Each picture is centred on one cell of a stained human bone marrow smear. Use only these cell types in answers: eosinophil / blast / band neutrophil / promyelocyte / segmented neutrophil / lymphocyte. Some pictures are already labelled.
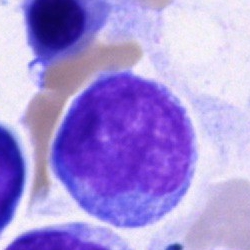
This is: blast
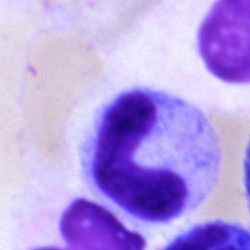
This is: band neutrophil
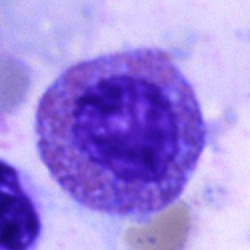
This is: eosinophil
